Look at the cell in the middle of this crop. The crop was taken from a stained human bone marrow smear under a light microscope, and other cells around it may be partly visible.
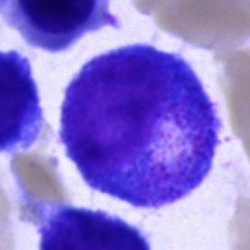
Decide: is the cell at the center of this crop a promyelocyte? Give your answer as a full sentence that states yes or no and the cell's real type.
Yes, the crop is centred on a promyelocyte.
